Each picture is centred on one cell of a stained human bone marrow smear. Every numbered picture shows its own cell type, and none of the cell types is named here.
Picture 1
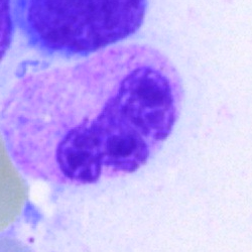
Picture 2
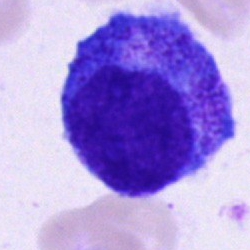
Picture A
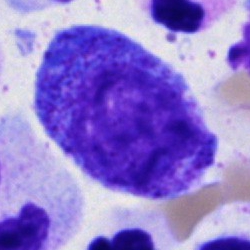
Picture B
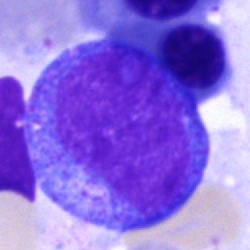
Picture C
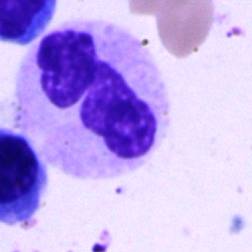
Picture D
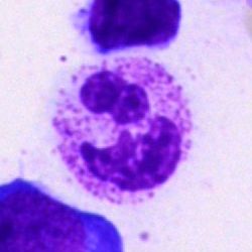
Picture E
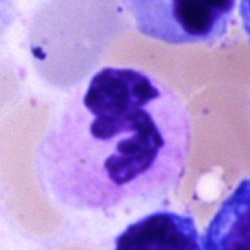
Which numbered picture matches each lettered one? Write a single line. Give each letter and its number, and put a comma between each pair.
A 2, B 2, C 1, D 1, E 1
